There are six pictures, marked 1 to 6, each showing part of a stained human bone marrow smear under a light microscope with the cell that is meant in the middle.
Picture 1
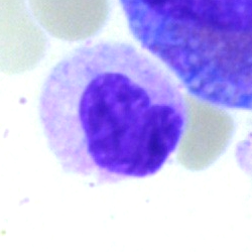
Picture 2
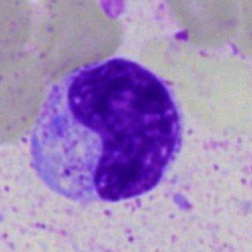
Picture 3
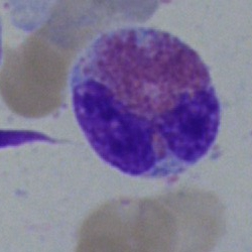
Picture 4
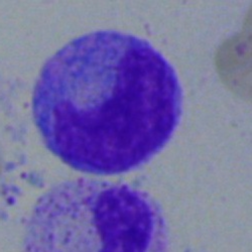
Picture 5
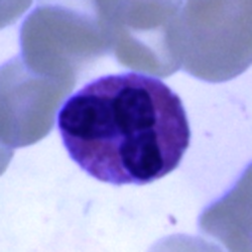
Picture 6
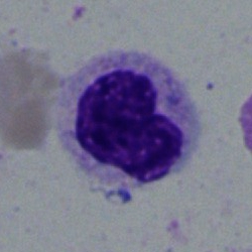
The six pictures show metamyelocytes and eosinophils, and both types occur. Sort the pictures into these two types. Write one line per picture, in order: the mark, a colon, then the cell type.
1: metamyelocyte
2: metamyelocyte
3: eosinophil
4: metamyelocyte
5: eosinophil
6: metamyelocyte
